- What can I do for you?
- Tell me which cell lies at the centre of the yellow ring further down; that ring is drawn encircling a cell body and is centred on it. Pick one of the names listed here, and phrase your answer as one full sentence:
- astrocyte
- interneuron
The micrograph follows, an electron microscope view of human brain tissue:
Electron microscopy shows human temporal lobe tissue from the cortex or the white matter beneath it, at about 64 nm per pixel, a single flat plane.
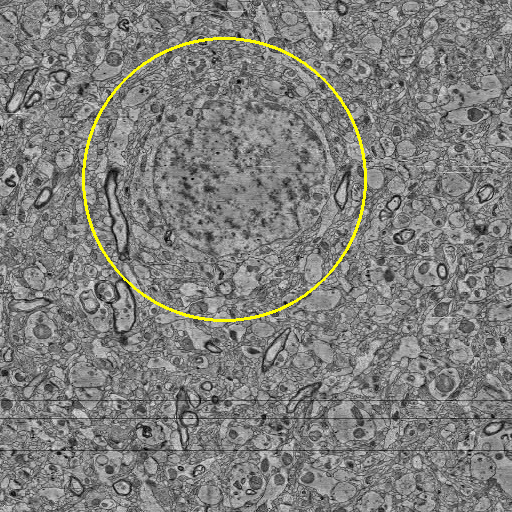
The cell whose body lies at the centre of the yellow ring is an interneuron.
